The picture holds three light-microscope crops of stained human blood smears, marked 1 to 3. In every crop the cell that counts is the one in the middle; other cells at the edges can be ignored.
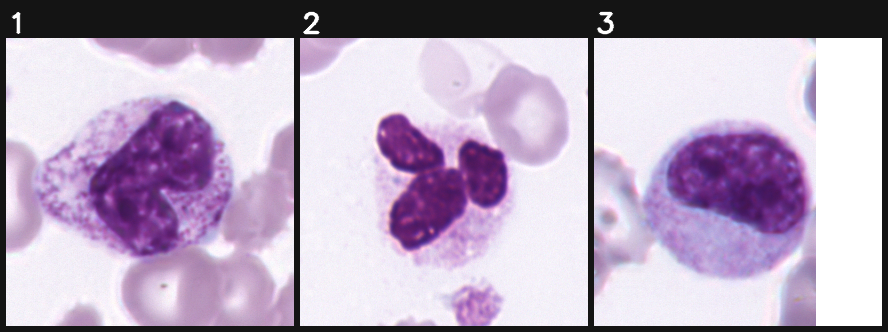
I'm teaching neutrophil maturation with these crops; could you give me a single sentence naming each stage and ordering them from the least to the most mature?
Least mature first and most mature last, the sequence is crop 3 (a metamyelocyte), crop 1 (a band neutrophil) and crop 2 (a segmented neutrophil).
